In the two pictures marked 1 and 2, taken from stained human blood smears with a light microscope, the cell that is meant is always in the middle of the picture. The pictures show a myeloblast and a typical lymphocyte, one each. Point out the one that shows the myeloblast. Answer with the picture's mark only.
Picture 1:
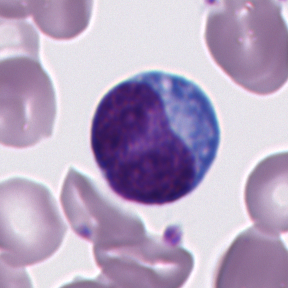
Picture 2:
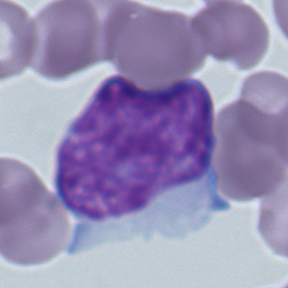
2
